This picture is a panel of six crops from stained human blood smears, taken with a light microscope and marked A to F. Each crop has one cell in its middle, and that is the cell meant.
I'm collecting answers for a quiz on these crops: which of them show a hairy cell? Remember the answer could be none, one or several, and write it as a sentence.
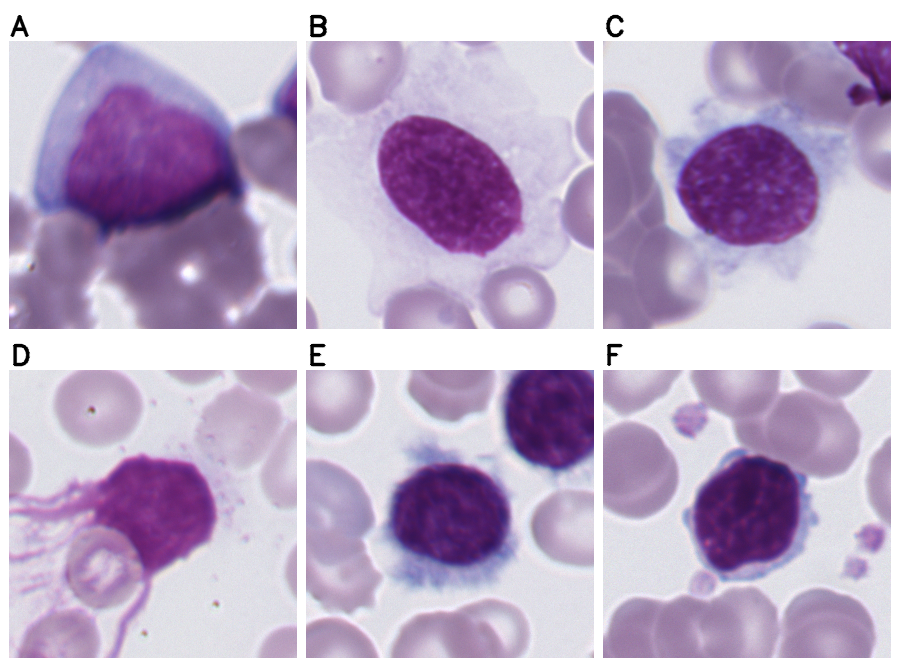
The crops labelled B, C and E show hairy cells at the centre.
